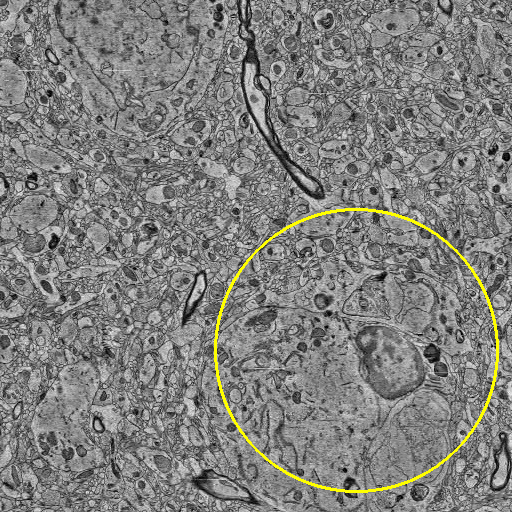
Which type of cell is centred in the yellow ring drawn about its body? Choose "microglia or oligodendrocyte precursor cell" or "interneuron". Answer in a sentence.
The yellow ring surrounds the cell body of a microglial cell or oligodendrocyte precursor cell.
